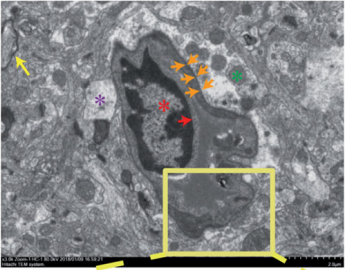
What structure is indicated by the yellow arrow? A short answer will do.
Myelin sheath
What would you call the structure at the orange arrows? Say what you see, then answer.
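The arrows point to a thin dense layer along the outer surface of the vessel wall. That points to this answer: basal lamina.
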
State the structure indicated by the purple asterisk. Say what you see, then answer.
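Astroglial end feet. The asterisk lies in a pale, lightly filled process next to the vessel.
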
